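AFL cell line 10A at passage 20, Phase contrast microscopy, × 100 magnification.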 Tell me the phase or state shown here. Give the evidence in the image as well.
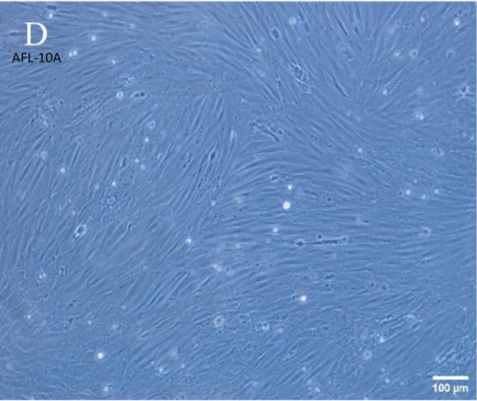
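Cells are elongated and spindle-shaped. Cells lie aligned in parallel streams and swirls. On this evidence: fibroblast-like morphology.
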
